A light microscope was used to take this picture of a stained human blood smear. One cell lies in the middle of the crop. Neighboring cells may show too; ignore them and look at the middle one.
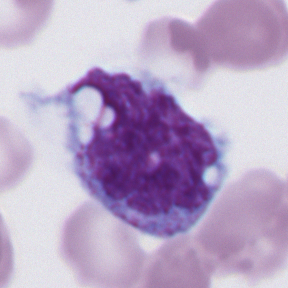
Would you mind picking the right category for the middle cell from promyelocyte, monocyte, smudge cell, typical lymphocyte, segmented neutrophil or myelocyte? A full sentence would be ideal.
The central cell, amid any neighbouring cells, is a monocyte.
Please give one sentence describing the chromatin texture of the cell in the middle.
One feature to record is coarsely clumped chromatin.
